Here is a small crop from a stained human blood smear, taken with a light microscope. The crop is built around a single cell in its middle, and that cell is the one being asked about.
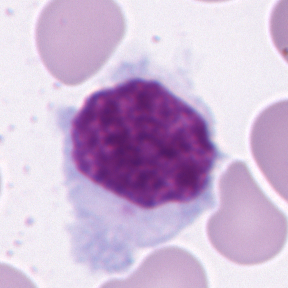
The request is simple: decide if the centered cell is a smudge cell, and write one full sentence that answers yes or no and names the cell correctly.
No, the cell at the centre of the crop is a hairy cell and not a smudge cell.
